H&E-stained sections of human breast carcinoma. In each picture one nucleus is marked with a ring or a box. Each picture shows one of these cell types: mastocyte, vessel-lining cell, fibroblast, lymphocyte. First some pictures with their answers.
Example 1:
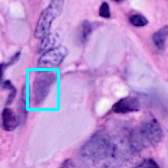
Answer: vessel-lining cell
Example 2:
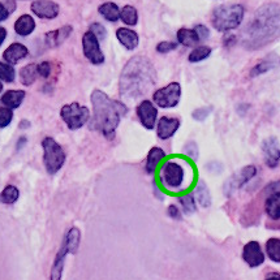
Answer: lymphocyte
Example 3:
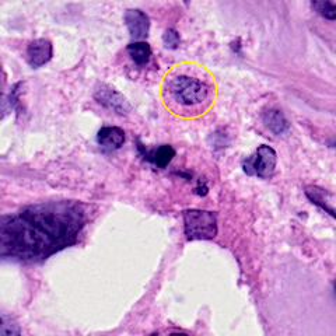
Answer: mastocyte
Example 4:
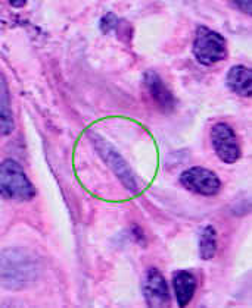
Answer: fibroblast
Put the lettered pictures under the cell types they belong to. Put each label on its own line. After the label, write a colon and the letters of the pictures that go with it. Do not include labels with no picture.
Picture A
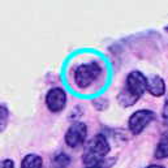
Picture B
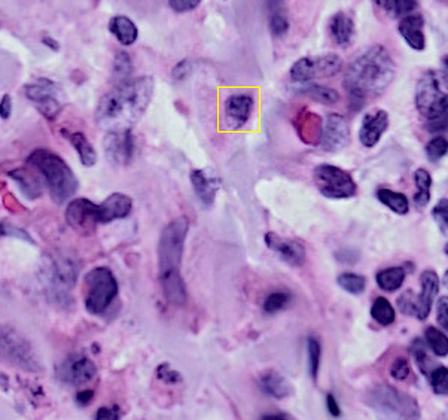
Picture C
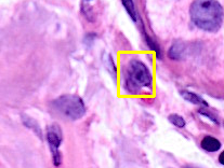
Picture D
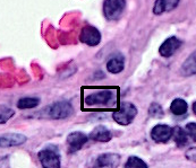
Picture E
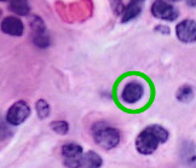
mastocyte: B
vessel-lining cell: C
lymphocyte: A, D, E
